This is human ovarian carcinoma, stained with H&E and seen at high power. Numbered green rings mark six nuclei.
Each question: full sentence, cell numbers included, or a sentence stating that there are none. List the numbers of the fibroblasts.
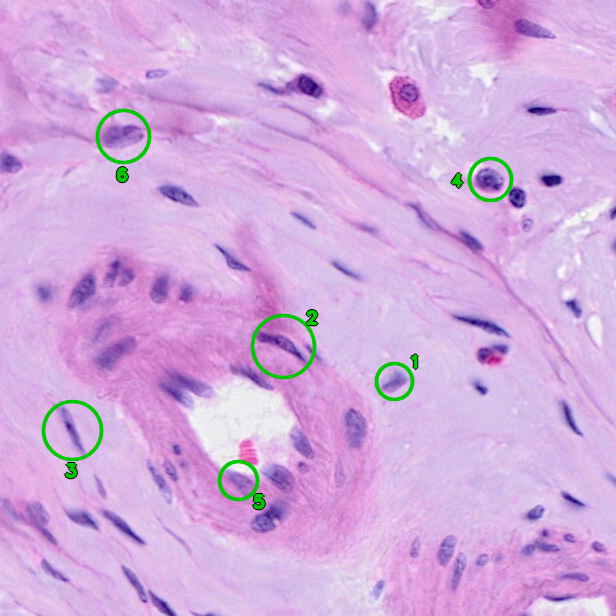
Within the section, cells numbered 1, 3 and 6 are fibroblasts.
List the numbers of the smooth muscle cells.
Only cell 2 qualifies as a smooth muscle cell among the numbered cells.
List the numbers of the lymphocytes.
Within the set of numbered cells, only number 4 is a lymphocyte.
